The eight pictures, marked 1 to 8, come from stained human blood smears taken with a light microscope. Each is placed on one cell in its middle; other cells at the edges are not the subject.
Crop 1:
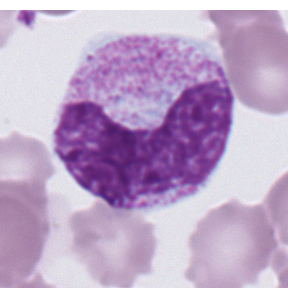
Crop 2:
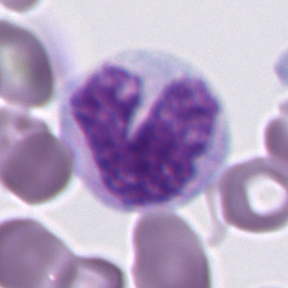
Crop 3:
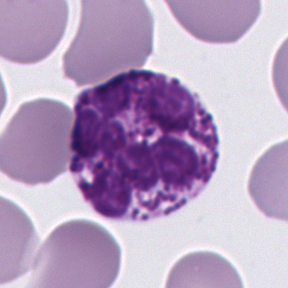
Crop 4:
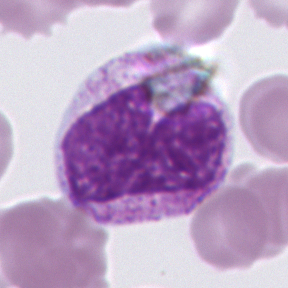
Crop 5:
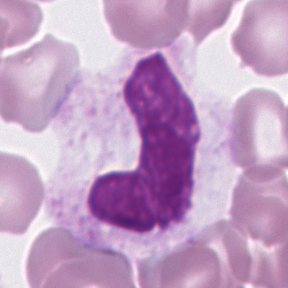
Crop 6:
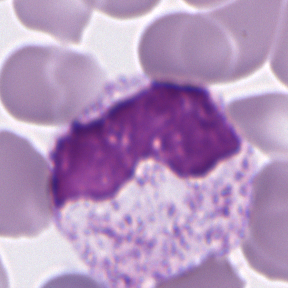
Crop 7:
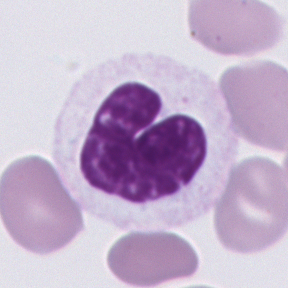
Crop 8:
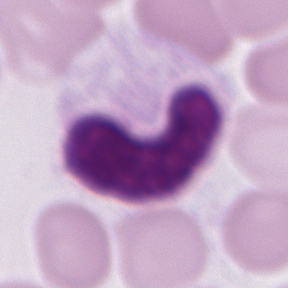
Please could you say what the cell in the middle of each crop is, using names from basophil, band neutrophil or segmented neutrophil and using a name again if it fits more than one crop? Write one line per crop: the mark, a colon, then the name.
1: band neutrophil
2: band neutrophil
3: basophil
4: band neutrophil
5: band neutrophil
6: band neutrophil
7: band neutrophil
8: band neutrophil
